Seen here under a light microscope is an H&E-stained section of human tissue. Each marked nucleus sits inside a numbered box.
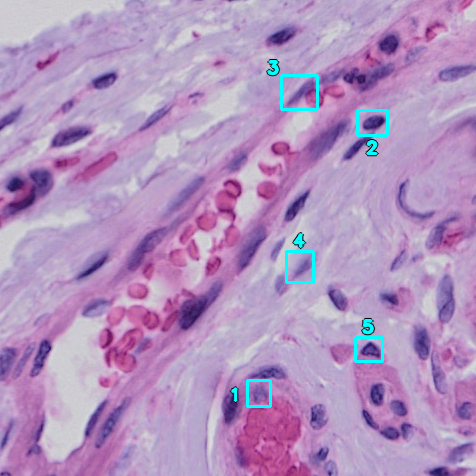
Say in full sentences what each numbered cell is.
Cells 1 and 3 are endothelial cells. Cell 2 is a lymphocyte. Cell 4 is a fibroblast. Cell 5 is a smooth muscle cell.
